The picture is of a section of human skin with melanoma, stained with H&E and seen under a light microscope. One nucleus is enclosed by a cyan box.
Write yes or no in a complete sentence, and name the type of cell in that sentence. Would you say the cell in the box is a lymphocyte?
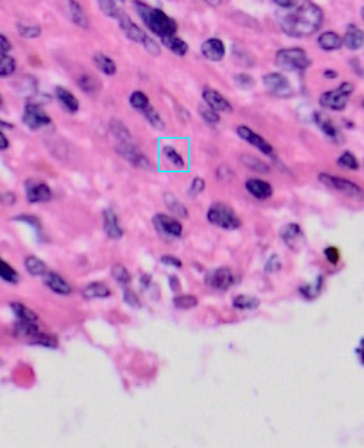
Yes, the cell in the box is a lymphocyte; nothing to add.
